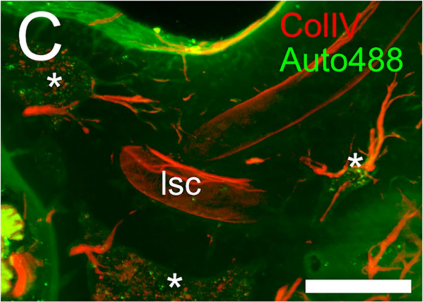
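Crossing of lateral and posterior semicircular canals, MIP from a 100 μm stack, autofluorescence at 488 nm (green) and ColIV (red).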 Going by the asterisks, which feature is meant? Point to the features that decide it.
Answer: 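The asterisks sit on small patches of speckled green material within the dark bone. Red tubular branches run into these patches.
Conclusion: marrow lobules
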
